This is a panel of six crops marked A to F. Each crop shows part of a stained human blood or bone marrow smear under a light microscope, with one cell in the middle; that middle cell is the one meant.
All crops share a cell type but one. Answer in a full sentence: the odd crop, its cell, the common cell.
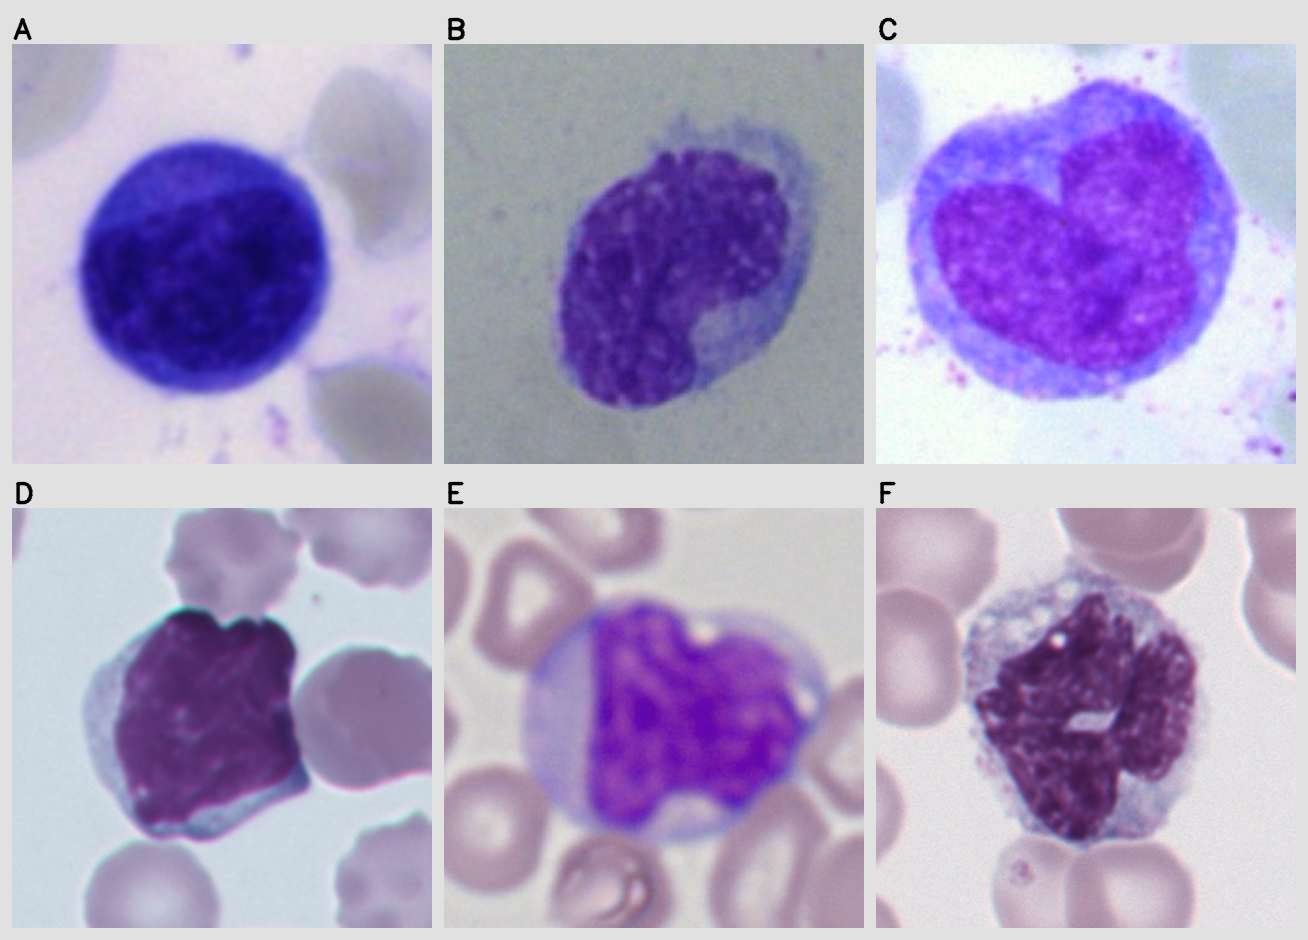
Crop D breaks the pattern with a lymphocyte; all the others show monocytes.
